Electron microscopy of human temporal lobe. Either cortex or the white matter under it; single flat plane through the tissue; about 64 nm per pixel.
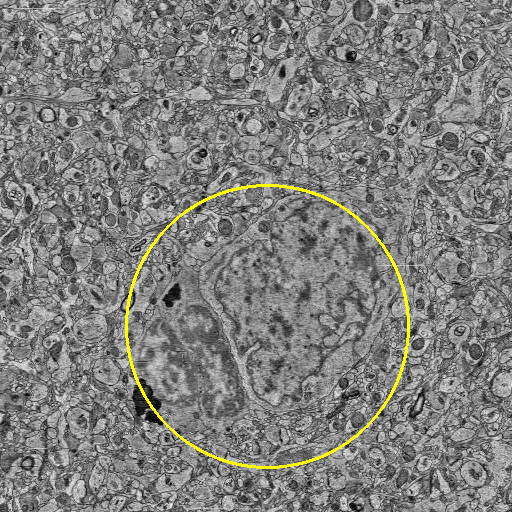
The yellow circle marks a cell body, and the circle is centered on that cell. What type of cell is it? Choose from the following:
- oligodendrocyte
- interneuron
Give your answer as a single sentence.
This cell body belongs to an interneuron.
